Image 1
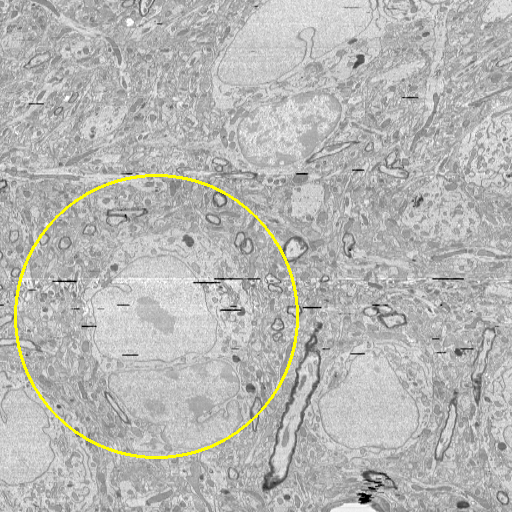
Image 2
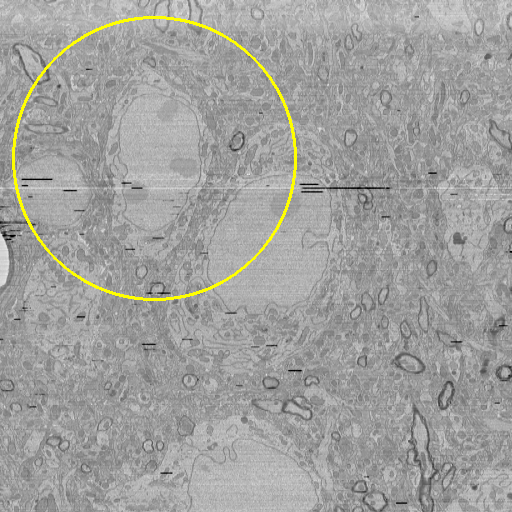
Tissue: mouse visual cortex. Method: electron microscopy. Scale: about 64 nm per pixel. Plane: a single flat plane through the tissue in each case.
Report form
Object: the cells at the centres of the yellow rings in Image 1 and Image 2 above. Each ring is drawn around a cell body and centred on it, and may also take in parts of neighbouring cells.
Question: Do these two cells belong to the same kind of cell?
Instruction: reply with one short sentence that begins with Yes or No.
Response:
Yes, both belong to the same kind of cell.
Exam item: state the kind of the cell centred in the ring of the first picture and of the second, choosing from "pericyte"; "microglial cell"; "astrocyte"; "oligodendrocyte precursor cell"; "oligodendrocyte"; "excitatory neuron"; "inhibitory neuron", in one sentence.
The first and the second cell are each an excitatory neuron.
